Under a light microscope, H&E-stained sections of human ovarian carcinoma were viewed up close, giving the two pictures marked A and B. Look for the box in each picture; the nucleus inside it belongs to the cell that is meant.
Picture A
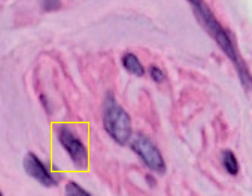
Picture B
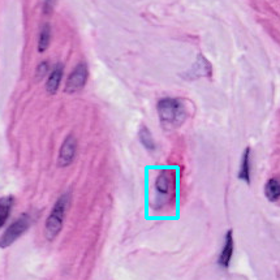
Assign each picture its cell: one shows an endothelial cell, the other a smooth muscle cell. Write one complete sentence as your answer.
Picture A is of a smooth muscle cell, and picture B is of an endothelial cell.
